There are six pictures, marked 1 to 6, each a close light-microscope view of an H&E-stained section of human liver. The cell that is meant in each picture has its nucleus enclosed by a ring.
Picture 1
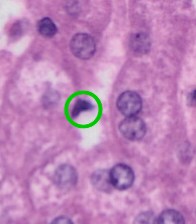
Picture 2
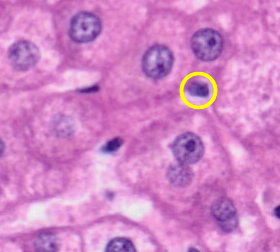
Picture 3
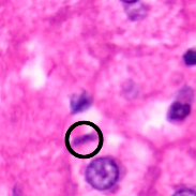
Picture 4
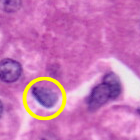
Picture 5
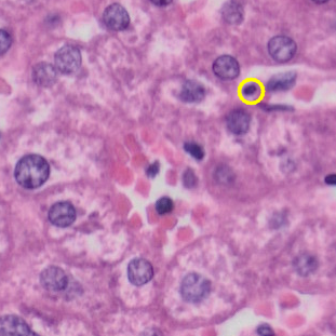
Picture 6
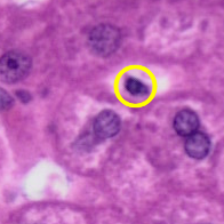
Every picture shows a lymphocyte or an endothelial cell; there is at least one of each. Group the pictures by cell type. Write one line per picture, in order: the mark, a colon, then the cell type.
1: endothelial cell
2: endothelial cell
3: endothelial cell
4: endothelial cell
5: lymphocyte
6: lymphocyte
